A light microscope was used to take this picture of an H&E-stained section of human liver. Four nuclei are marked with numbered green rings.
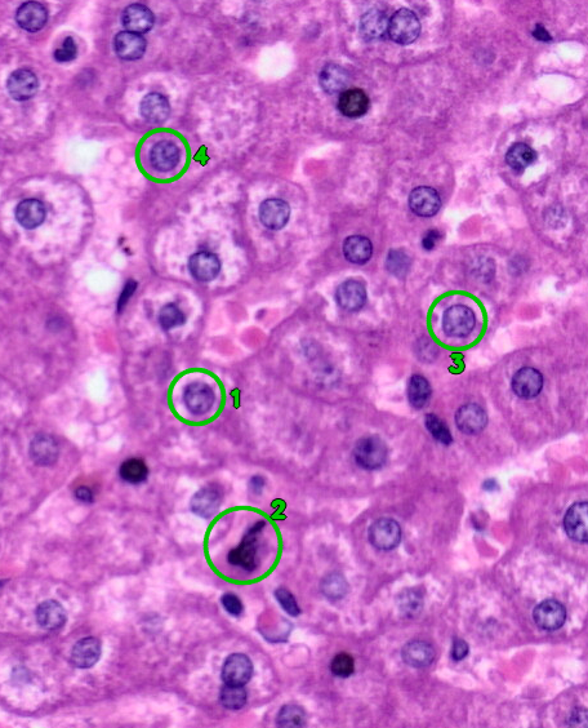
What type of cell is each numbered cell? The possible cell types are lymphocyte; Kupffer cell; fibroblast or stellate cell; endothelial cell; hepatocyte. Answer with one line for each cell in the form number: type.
1: hepatocyte
2: Kupffer cell
3: hepatocyte
4: hepatocyte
